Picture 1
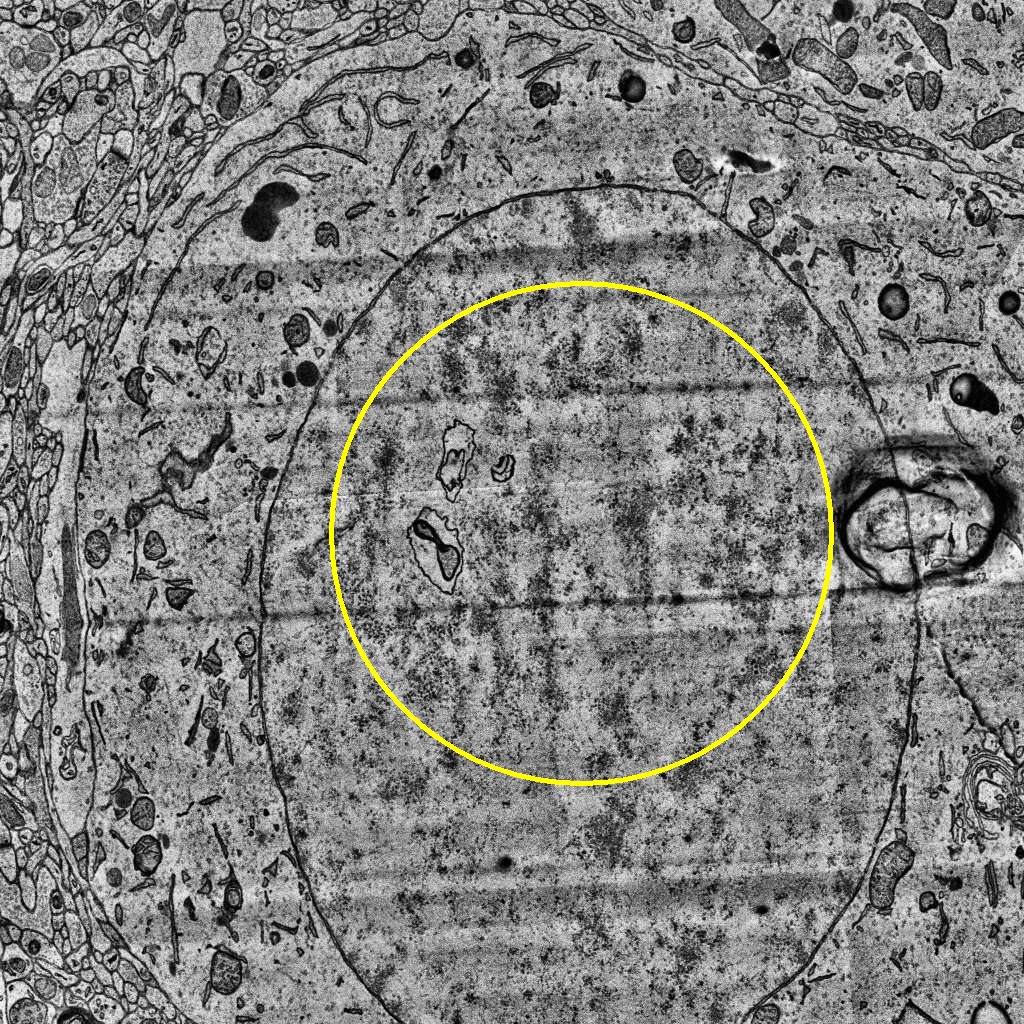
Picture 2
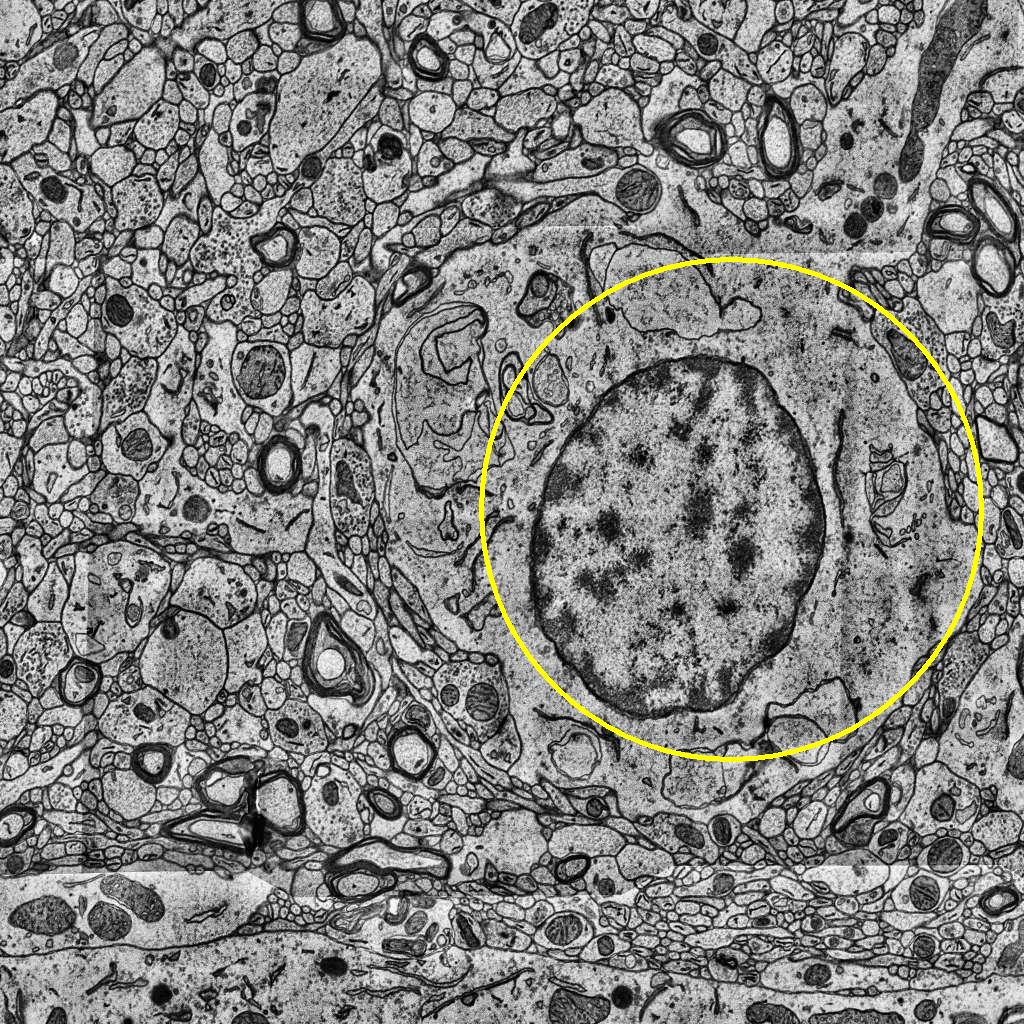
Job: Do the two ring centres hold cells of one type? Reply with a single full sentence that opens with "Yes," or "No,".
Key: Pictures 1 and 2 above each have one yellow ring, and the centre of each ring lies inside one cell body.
No, the cells at the two ring centres are of two separate types.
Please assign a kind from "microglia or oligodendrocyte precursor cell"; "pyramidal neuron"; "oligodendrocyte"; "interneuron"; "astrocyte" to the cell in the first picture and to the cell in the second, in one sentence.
The cell at the centre of the ring is a pyramidal neuron in the first picture and an astrocyte in the second.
